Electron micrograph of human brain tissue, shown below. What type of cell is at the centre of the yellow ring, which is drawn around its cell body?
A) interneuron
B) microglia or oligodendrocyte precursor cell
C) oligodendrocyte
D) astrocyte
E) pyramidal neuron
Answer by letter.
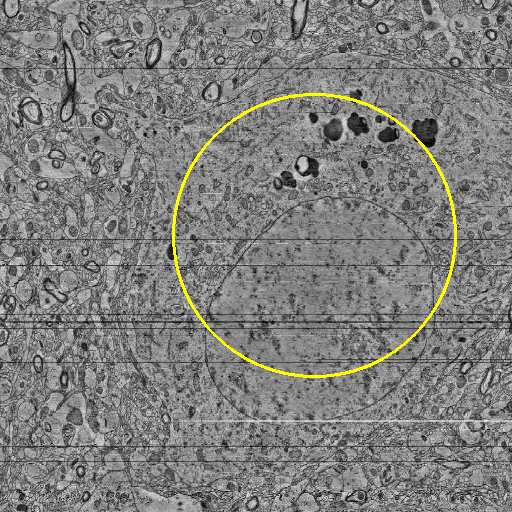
E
